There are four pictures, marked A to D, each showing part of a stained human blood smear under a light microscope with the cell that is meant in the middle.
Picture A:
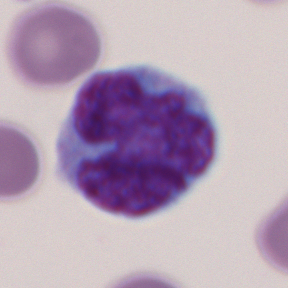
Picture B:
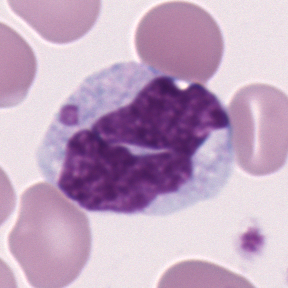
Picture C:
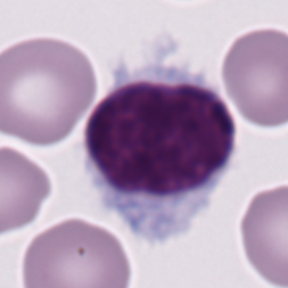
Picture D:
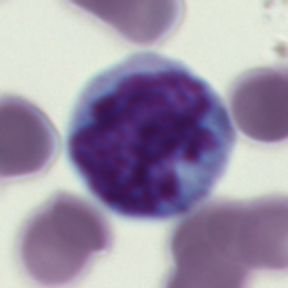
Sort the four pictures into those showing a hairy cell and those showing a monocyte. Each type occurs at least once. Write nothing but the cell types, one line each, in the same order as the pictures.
monocyte
monocyte
hairy cell
monocyte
